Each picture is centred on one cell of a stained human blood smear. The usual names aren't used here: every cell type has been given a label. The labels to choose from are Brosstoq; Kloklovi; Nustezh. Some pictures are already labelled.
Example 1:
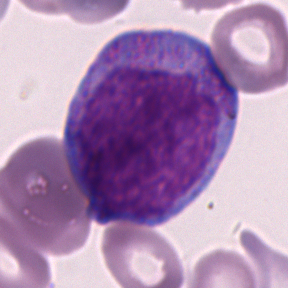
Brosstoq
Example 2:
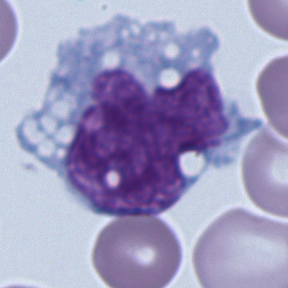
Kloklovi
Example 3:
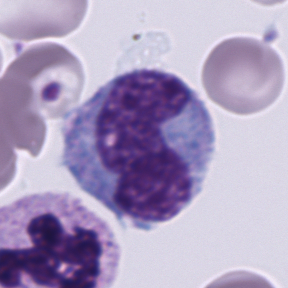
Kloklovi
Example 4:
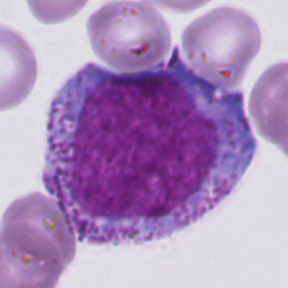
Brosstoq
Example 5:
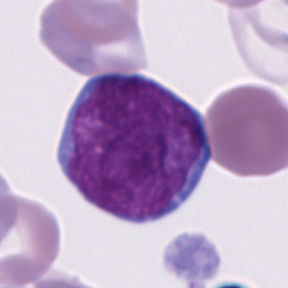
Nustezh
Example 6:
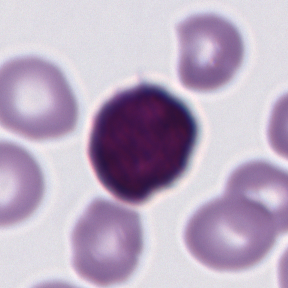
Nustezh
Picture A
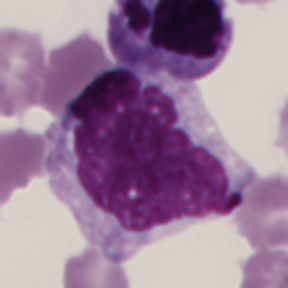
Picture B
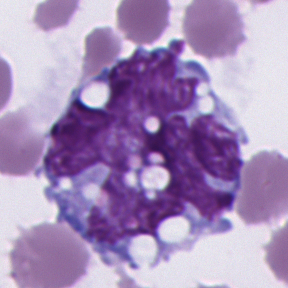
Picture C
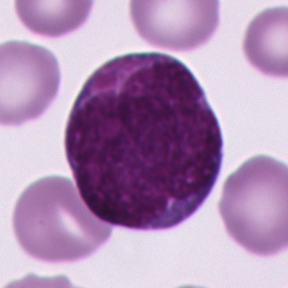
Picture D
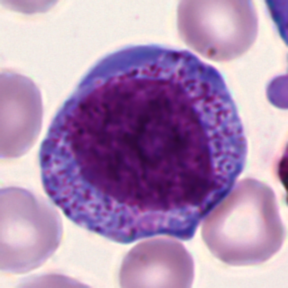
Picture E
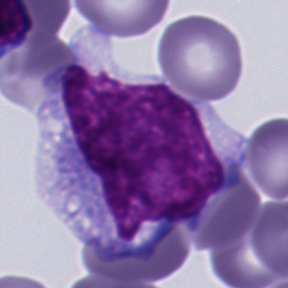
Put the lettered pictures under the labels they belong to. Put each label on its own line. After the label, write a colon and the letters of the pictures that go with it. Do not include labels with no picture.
Brosstoq: D
Kloklovi: A, B, E
Nustezh: C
